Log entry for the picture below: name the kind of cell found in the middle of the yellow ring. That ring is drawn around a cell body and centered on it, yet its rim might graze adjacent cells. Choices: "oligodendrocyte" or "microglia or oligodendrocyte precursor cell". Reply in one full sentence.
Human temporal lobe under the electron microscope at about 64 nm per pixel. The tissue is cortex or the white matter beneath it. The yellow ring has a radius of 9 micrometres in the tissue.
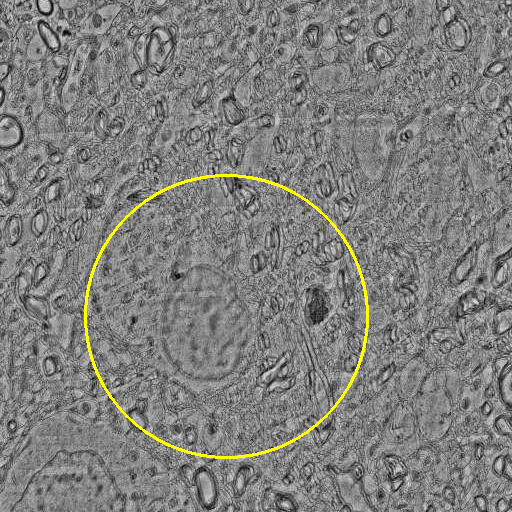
The cell in the middle of the yellow ring in this picture is an oligodendrocyte.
